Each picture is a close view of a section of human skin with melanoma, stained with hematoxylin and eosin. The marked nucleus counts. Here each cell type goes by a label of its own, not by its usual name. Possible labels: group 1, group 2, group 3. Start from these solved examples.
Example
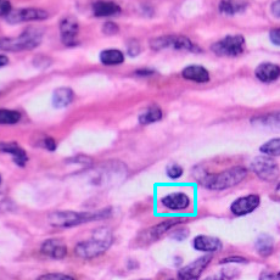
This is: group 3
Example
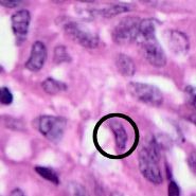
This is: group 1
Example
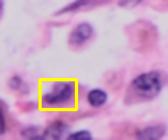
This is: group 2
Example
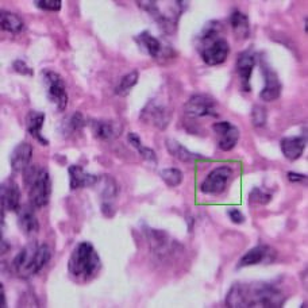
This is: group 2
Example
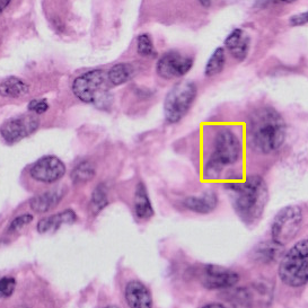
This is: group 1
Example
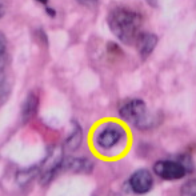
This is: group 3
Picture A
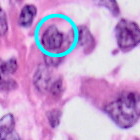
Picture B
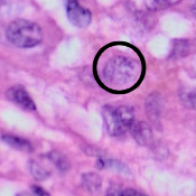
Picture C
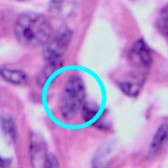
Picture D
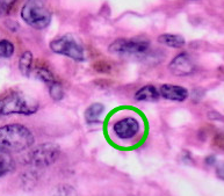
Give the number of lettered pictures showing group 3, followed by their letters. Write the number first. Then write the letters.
Count: 1 (D)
